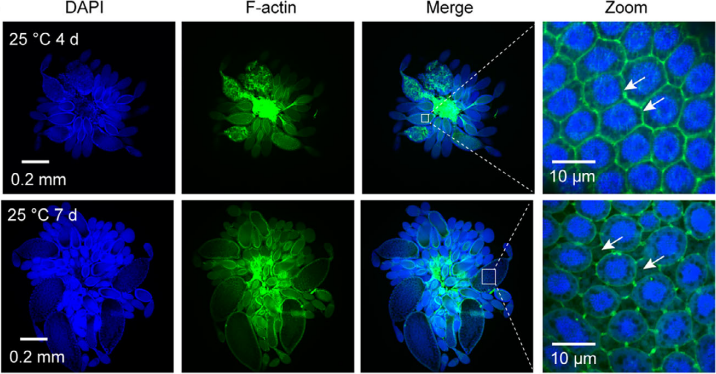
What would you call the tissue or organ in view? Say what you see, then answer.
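Each cell has one large round blue nucleus and a green outline at its borders. That points to this answer: follicular epithelium.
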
